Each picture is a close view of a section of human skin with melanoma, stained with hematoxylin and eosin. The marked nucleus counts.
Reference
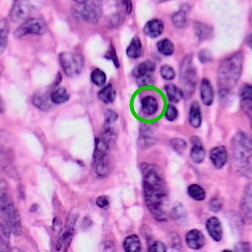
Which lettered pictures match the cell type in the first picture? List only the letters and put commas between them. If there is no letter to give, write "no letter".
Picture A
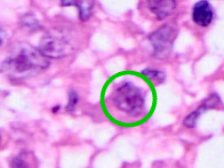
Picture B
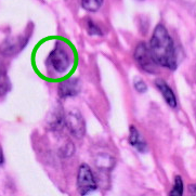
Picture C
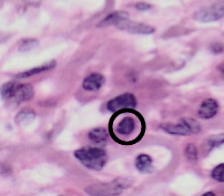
C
